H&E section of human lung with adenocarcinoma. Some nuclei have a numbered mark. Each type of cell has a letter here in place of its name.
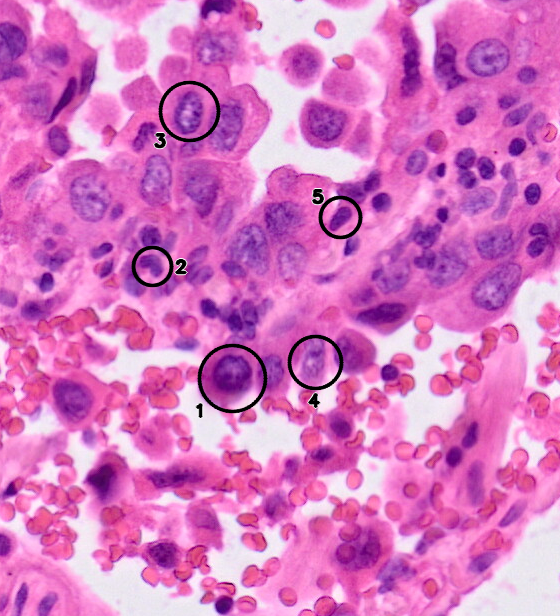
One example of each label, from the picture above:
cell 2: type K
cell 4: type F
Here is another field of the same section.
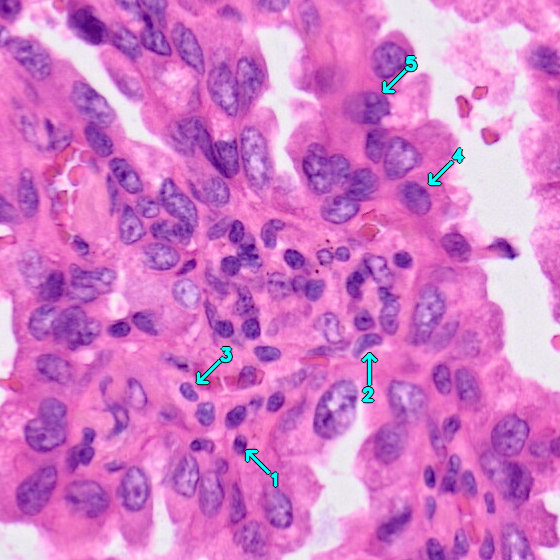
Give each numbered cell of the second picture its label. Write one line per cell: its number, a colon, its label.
1: type K
2: type K
3: type K
4: type F
5: type F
